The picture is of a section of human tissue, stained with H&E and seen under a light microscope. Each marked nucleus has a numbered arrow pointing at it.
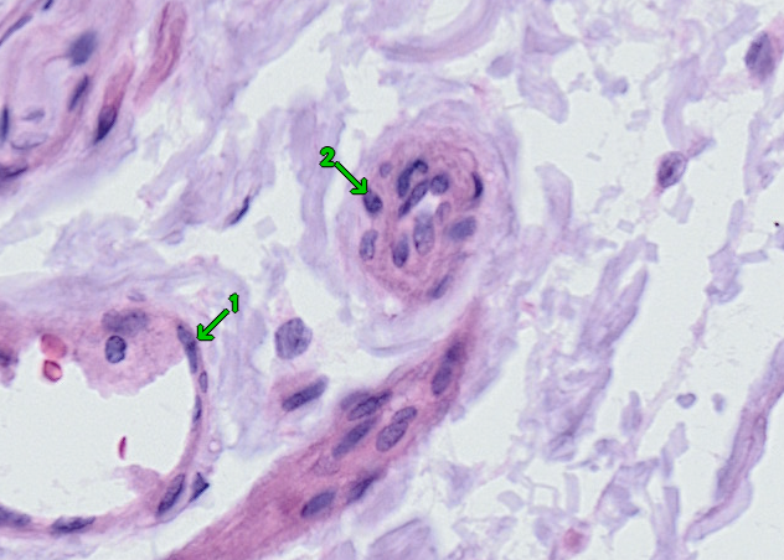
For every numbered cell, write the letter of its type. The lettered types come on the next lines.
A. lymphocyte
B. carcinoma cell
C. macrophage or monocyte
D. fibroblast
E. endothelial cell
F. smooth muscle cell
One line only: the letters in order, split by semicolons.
E; F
